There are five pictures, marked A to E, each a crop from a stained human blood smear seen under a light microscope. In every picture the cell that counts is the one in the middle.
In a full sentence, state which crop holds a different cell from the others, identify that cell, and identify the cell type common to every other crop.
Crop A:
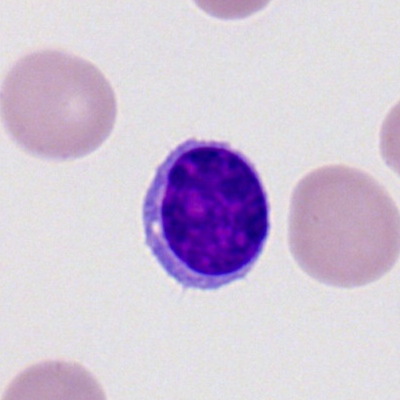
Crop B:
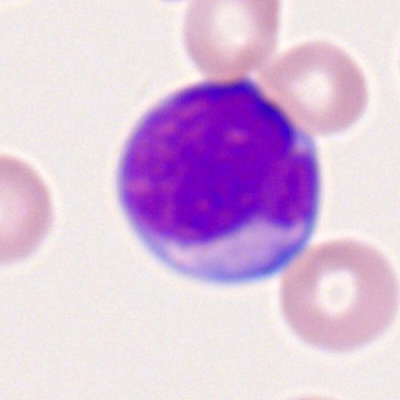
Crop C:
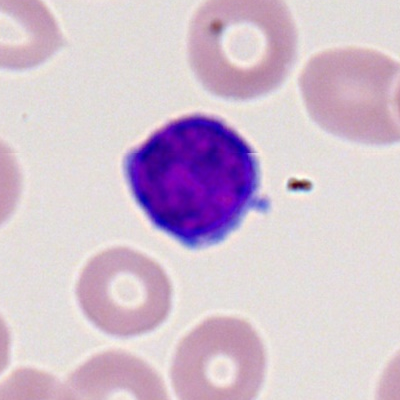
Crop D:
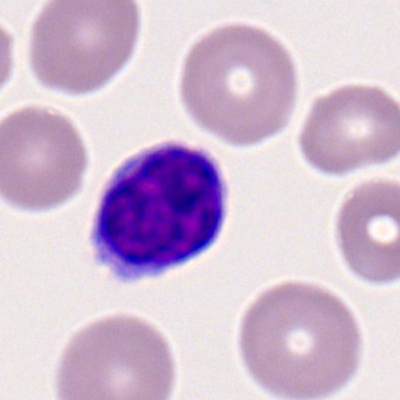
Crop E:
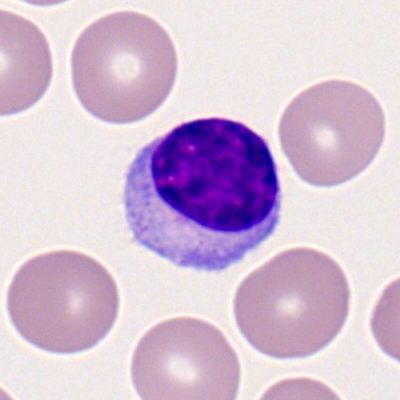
Unlike the rest, which all show lymphocytes, crop B contains a myeloblast.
